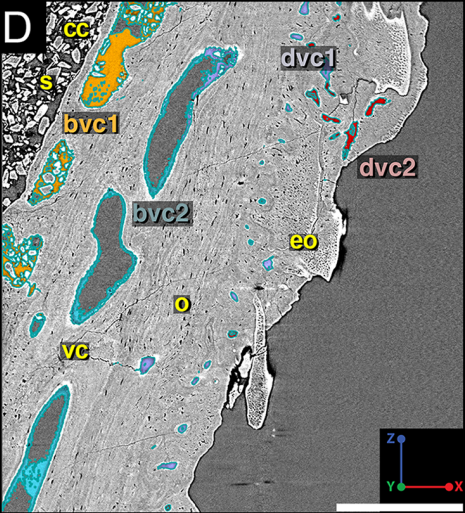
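Scattered through the matrix are many small dark elongate spaces aligned with the layering, and near the outer surface lie much smaller canals highlighted in blue and red. At the inner edge, a canal filled with orange highlighting borders a cavity packed with coarse, angular grains.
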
